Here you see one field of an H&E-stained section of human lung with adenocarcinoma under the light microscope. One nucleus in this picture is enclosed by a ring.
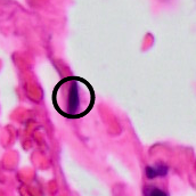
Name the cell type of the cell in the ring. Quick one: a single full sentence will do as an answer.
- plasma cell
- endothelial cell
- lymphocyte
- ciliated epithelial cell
Within this tissue, the cell in the ring is an endothelial cell.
